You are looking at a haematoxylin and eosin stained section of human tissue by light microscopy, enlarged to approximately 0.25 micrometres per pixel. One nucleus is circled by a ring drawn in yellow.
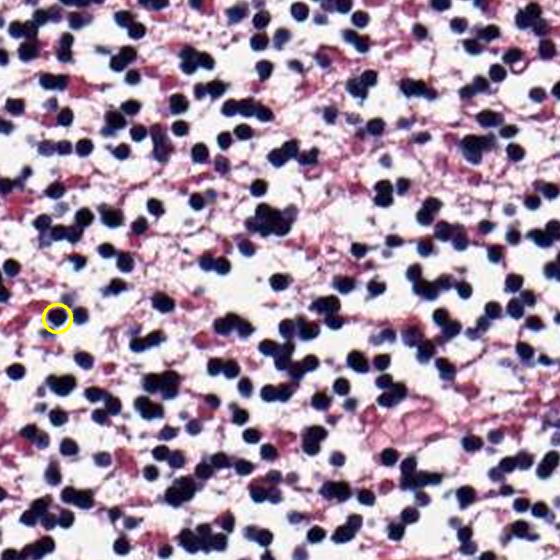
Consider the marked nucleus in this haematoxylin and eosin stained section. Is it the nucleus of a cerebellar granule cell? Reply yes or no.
yes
